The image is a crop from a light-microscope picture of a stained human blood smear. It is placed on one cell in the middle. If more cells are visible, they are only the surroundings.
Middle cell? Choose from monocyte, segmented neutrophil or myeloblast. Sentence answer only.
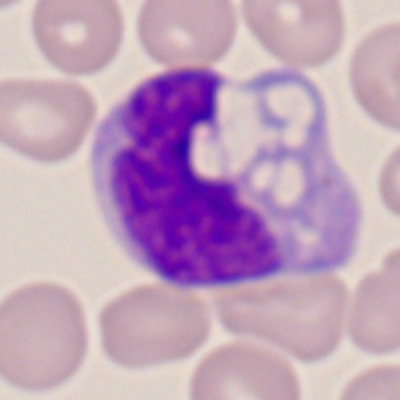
Here the cell in the middle is a monocyte.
